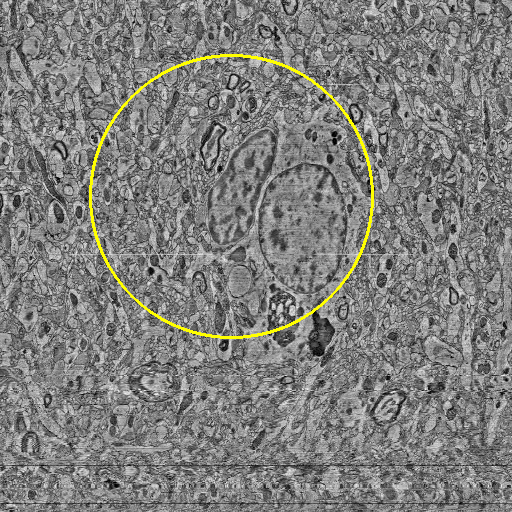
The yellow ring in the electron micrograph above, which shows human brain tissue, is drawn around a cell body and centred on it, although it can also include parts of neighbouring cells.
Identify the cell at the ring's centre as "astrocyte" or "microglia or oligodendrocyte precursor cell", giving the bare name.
microglia or oligodendrocyte precursor cell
